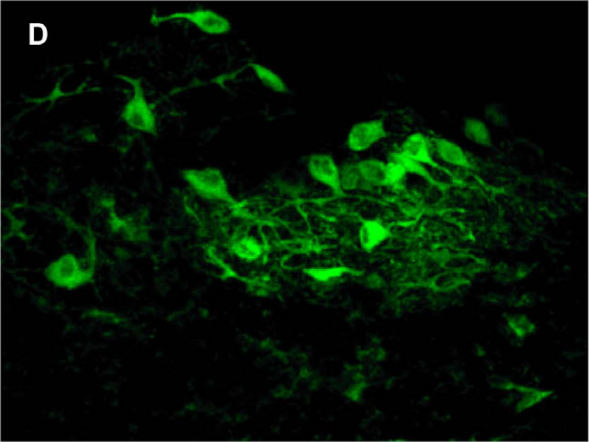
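The cell bodies are large and rounded or pear-shaped. Their nuclei show only as slightly less bright centres within the cytoplasm. Many of the cell bodies are gathered in a cluster toward the middle right of the field. From them, long, thin, branching green processes run in many directions and interweave into a dense meshwork among the cells. A few isolated cells with their own processes lie farther up and to the left, and the background is dark.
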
